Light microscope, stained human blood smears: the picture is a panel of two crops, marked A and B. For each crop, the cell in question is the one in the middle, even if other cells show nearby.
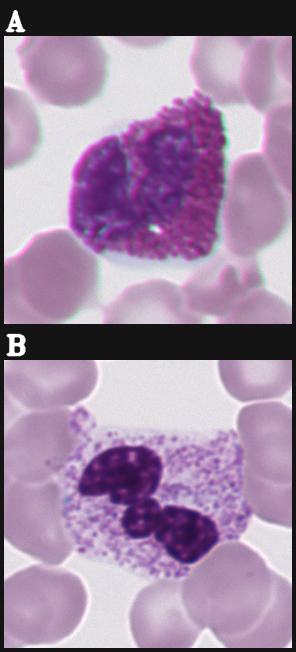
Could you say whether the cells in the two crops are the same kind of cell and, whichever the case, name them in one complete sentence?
No, crop A is where an eosinophil is shown, and crop B is where a segmented neutrophil is shown.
